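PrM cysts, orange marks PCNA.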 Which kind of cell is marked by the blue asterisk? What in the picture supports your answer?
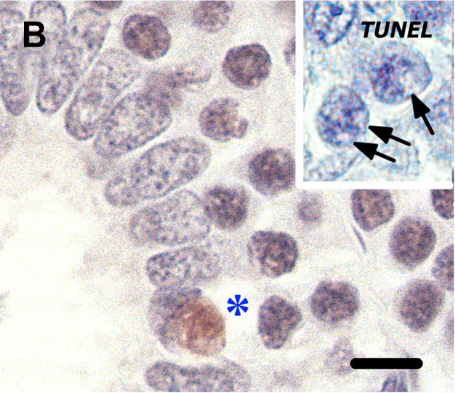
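The cell beside the asterisk is round and stained orange-brown. So: spermatogonium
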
